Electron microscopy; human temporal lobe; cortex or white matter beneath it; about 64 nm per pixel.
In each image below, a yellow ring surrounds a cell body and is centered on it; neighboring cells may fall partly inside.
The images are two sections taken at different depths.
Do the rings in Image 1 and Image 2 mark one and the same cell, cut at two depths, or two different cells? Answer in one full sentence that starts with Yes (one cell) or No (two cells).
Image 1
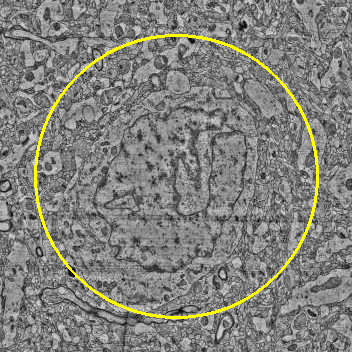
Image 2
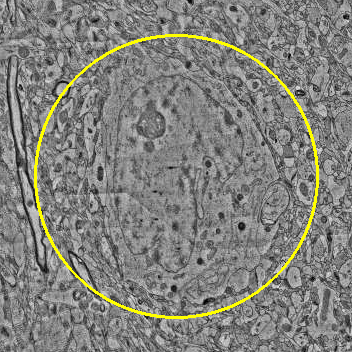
No, there are two different cells marked by the rings.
